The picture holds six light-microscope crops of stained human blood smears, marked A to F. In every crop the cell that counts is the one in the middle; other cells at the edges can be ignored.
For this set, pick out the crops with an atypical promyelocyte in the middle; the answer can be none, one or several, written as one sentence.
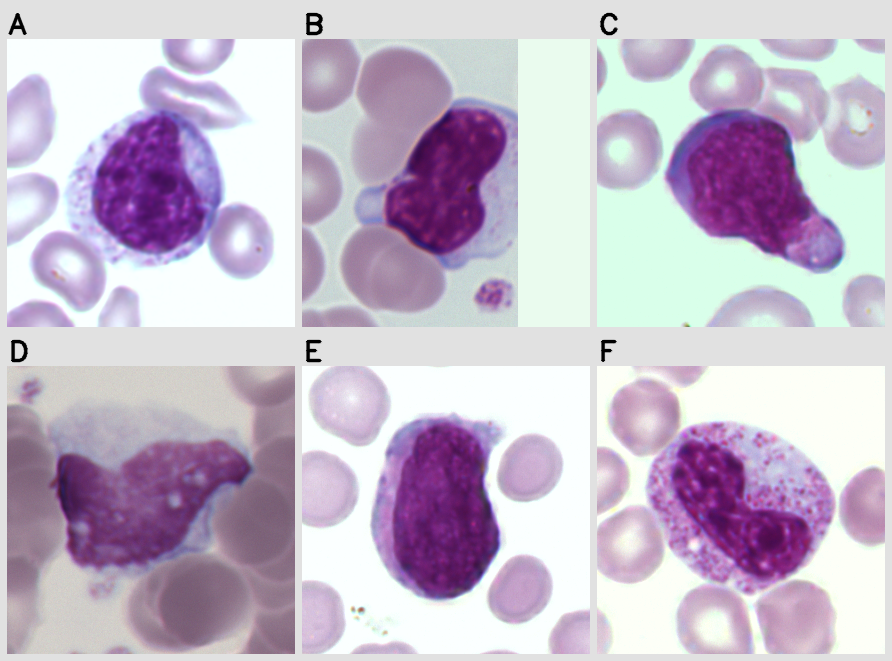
The cells in the middle of crops C and E are atypical promyelocytes.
